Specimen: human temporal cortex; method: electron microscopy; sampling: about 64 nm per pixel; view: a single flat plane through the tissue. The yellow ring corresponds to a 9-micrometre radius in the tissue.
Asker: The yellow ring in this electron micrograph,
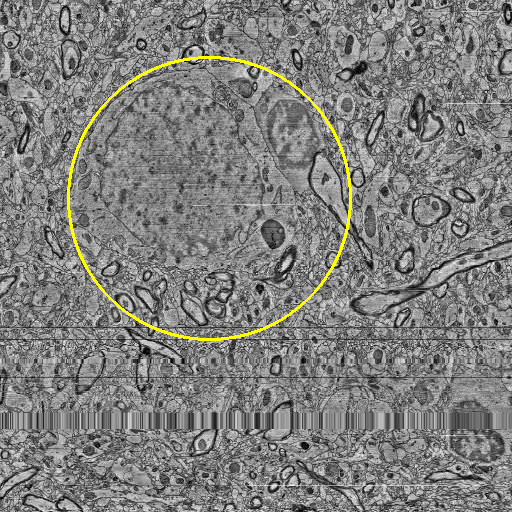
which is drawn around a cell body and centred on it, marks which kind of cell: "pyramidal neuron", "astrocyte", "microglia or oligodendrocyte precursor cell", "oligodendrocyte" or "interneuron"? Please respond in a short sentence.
The marked cell is an interneuron.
